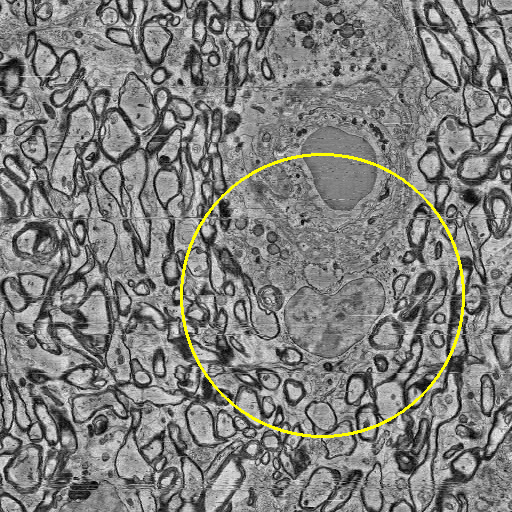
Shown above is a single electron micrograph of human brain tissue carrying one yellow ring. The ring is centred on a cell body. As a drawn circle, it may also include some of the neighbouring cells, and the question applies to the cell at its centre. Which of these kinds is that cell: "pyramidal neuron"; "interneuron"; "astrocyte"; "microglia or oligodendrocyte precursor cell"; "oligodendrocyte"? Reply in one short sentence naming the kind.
The cell marked by the ring is a microglial cell or oligodendrocyte precursor cell.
